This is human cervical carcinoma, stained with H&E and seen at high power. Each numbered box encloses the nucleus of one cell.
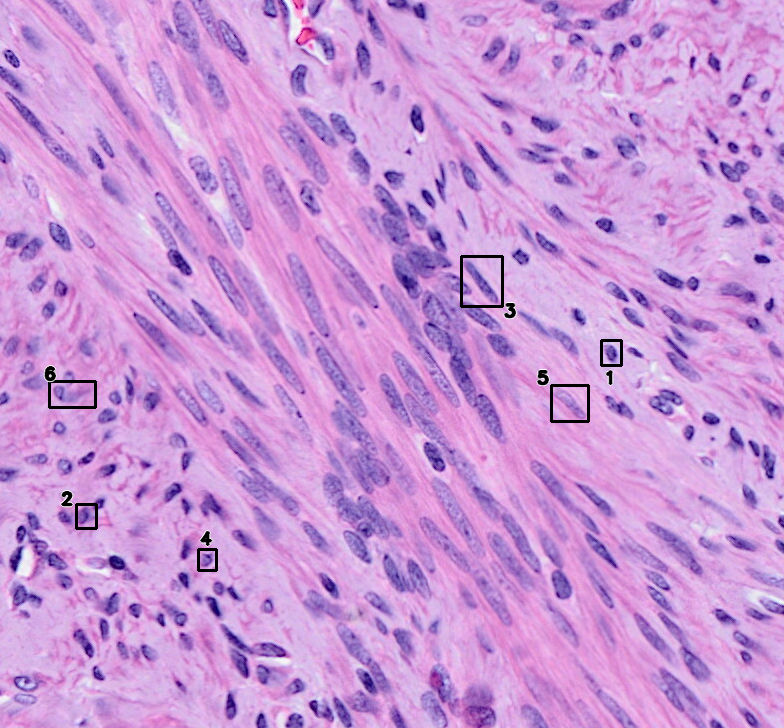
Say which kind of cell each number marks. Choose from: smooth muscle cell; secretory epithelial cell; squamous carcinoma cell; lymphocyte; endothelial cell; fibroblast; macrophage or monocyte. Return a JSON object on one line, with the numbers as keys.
{"1": "fibroblast", "2": "smooth muscle cell", "3": "fibroblast", "4": "smooth muscle cell", "5": "smooth muscle cell", "6": "smooth muscle cell"}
